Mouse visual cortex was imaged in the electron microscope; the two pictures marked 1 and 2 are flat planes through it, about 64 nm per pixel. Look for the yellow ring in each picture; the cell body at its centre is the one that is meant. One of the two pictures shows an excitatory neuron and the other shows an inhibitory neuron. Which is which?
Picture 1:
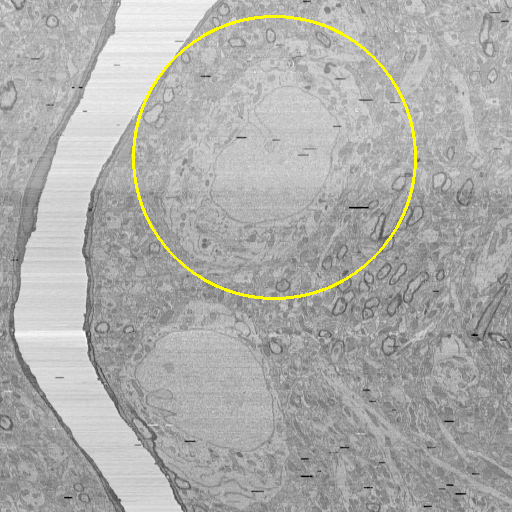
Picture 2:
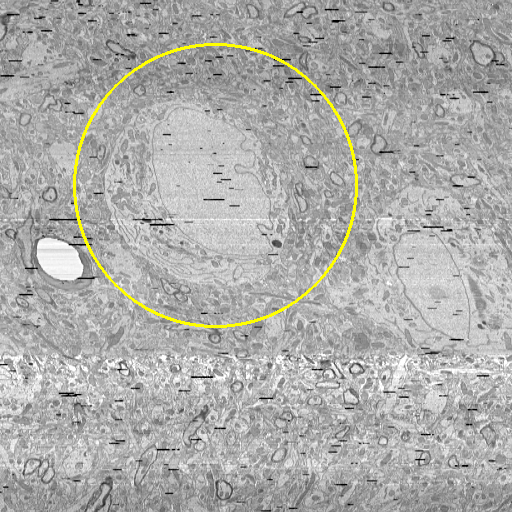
In picture 1 the cell is an excitatory neuron; in picture 2, an inhibitory neuron.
